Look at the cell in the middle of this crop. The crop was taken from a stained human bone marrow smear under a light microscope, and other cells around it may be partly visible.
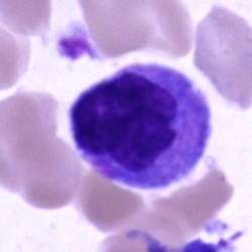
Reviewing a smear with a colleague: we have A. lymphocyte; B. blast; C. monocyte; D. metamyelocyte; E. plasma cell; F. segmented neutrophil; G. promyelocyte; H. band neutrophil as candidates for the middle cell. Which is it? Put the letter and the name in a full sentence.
Option C is correct in that the central cell is a monocyte.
